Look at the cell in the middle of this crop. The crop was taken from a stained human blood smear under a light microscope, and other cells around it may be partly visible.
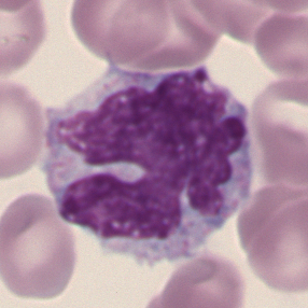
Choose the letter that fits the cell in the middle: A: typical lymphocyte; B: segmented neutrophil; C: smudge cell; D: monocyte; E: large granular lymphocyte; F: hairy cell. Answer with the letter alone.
D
